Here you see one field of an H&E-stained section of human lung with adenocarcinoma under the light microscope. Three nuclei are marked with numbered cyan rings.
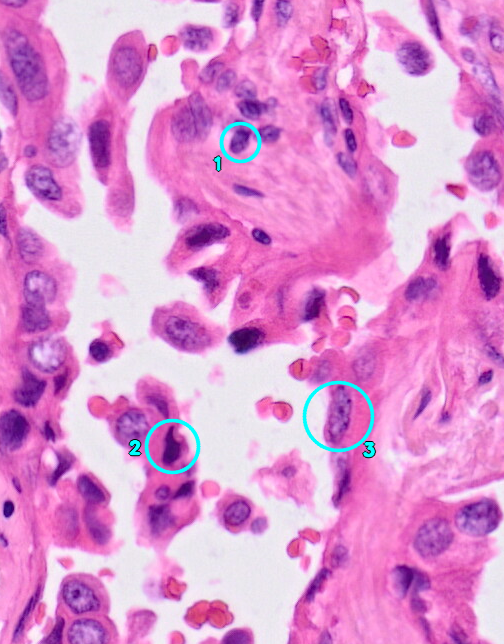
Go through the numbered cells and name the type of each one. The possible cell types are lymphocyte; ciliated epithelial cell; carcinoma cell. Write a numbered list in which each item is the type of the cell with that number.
1. lymphocyte
2. carcinoma cell
3. carcinoma cell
